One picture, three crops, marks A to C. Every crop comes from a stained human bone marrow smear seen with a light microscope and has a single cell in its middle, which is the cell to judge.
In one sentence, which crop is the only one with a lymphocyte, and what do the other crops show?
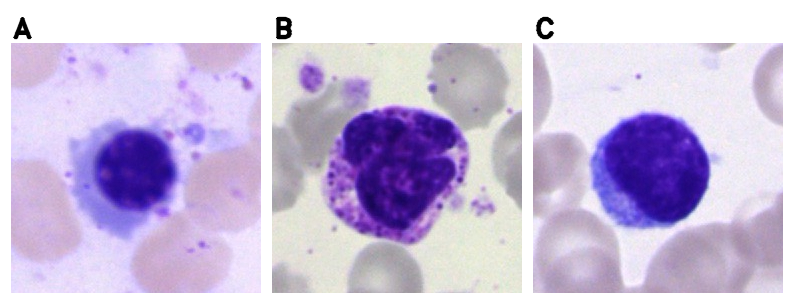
The middle cell of crop C is a lymphocyte, while crop A is an erythroblast and crop B is a basophil.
